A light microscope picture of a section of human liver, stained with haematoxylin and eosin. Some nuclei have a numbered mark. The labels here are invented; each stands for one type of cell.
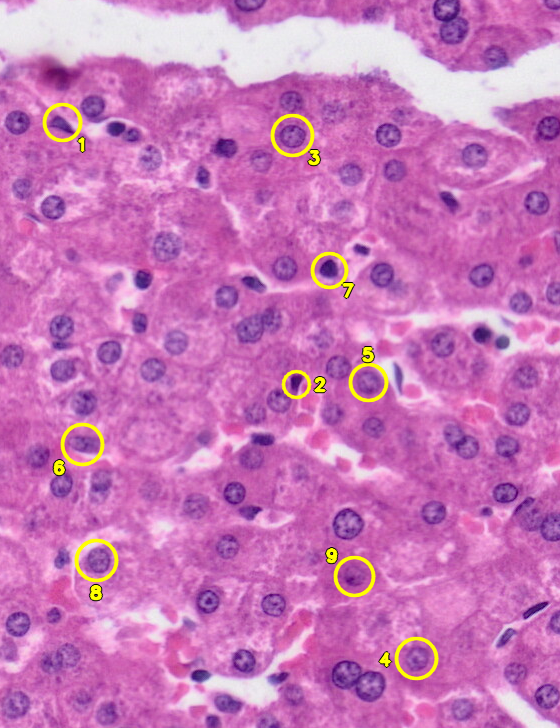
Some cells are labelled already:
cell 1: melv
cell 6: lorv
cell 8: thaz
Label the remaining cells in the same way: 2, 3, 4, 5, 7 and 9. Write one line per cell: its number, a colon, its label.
2: melv
3: thaz
4: thaz
5: thaz
7: melv
9: thaz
